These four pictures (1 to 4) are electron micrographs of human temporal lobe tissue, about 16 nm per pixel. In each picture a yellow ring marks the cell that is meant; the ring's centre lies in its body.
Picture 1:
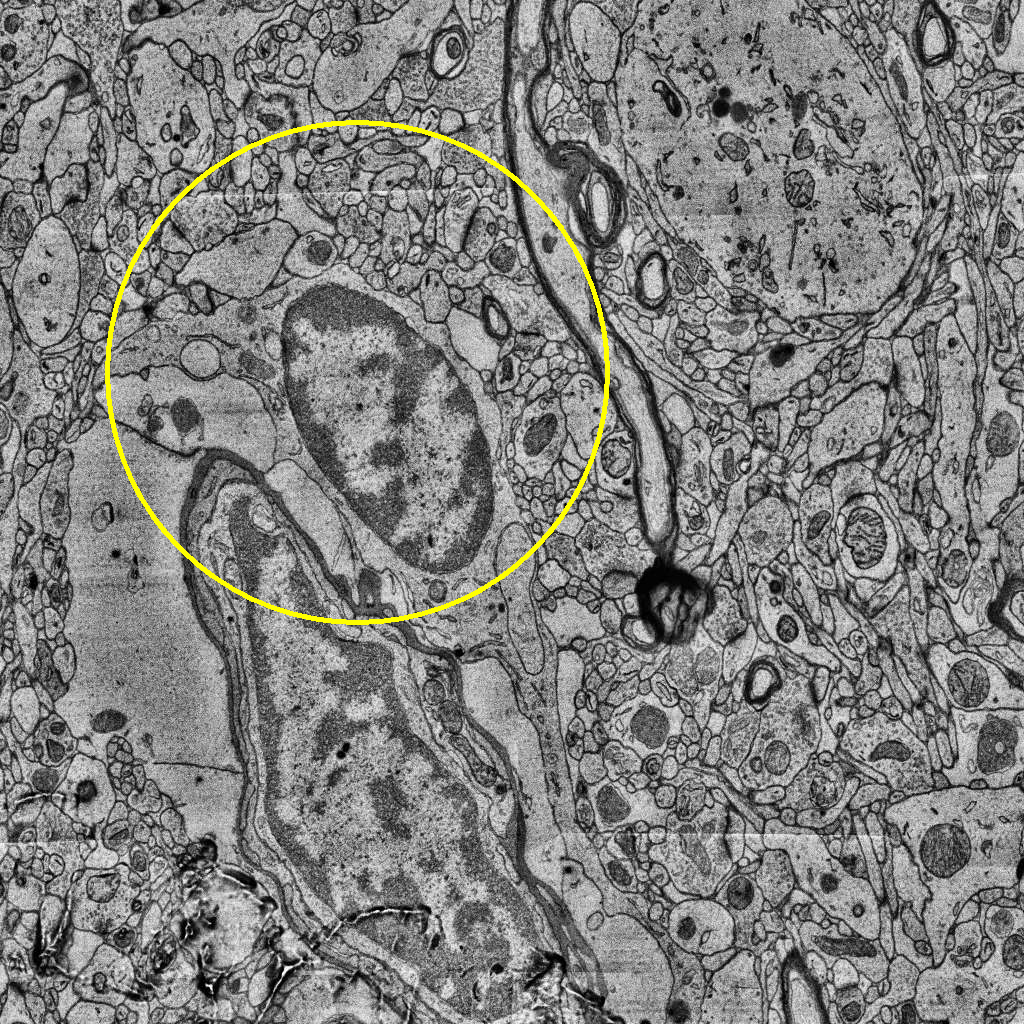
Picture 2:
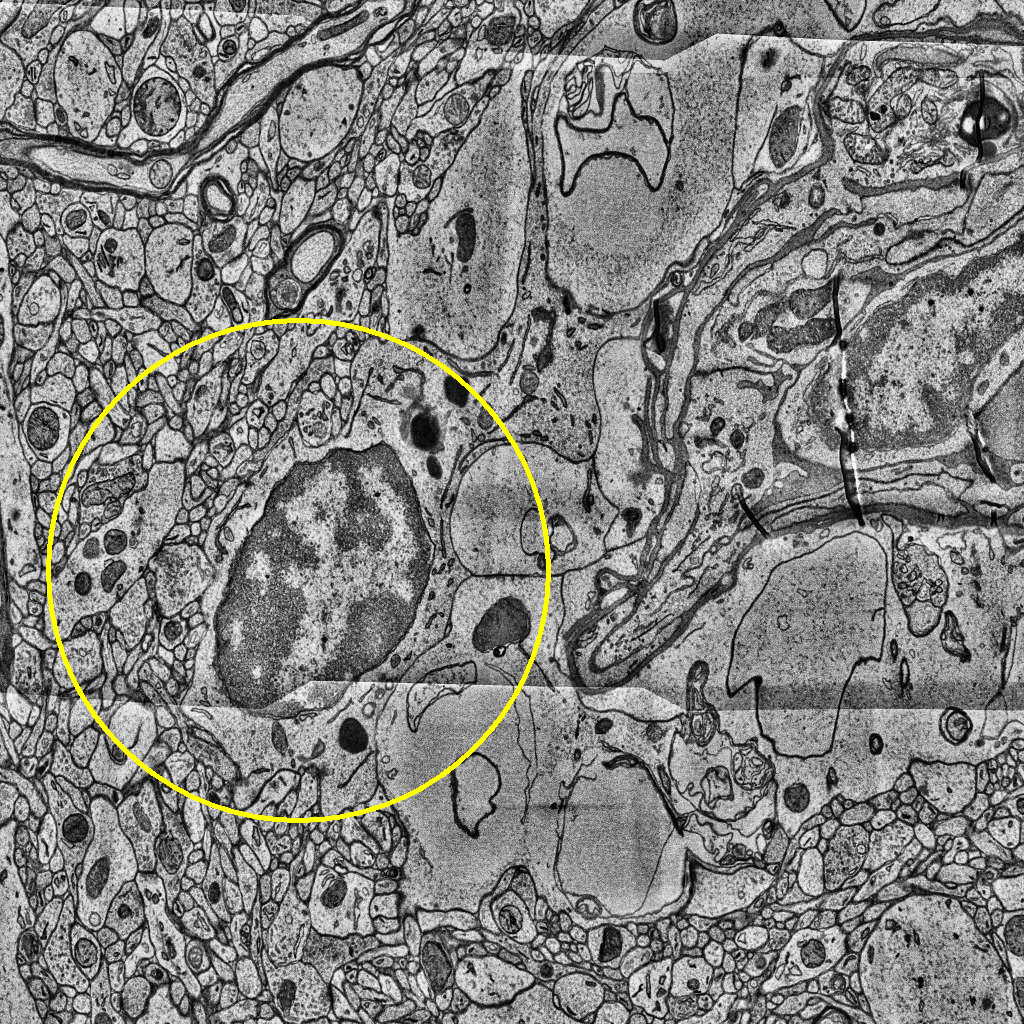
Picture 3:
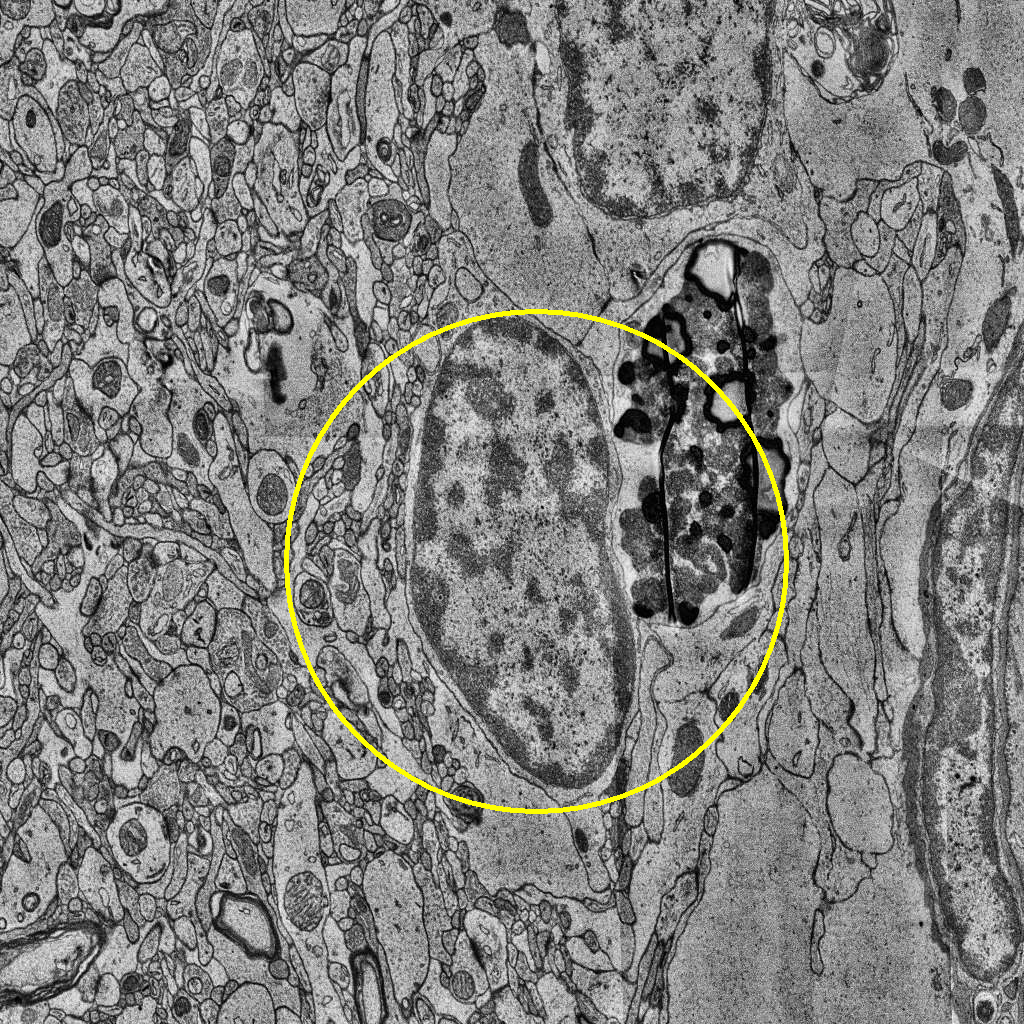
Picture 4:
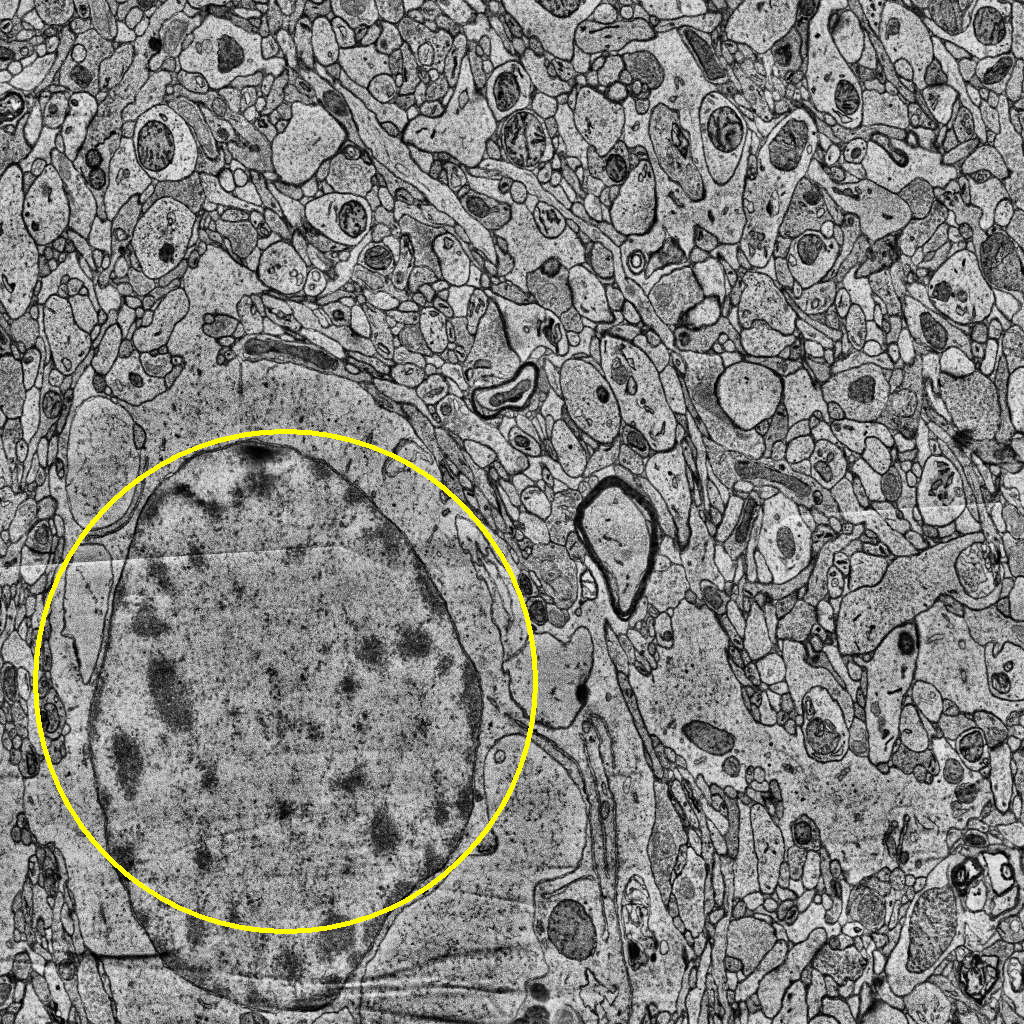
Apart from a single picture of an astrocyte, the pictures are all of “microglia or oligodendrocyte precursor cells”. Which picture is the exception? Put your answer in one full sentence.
Picture 4 shows the astrocyte.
